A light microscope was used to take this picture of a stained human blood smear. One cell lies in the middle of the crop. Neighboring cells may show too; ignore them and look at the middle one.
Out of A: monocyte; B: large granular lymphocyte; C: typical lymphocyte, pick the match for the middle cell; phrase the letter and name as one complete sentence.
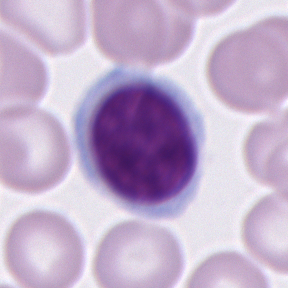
The centrally located cell is a typical lymphocyte, making option C the correct choice.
